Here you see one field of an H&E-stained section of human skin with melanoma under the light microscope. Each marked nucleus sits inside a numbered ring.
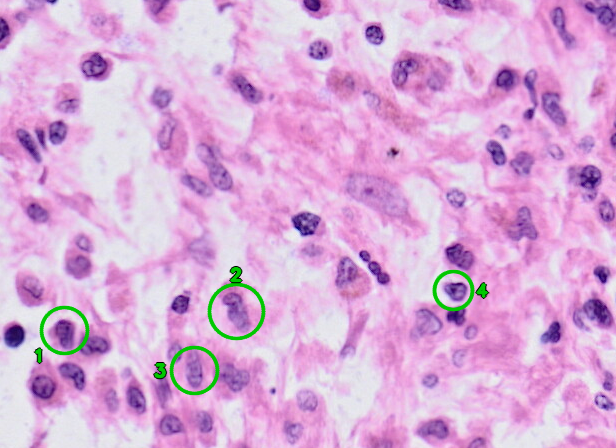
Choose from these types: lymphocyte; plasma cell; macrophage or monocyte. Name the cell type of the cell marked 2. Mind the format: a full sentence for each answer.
Here, the cell given the number 2 is a macrophage or monocyte.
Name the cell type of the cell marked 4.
To a lymphocyte belongs the nucleus marked 4.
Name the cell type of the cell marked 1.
Here the cell numbered 1 is a macrophage or monocyte.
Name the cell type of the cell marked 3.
The nucleus labeled 3 belongs to a macrophage or monocyte.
